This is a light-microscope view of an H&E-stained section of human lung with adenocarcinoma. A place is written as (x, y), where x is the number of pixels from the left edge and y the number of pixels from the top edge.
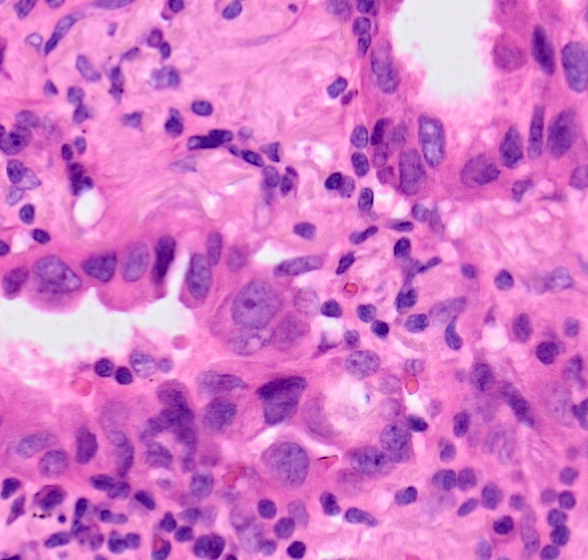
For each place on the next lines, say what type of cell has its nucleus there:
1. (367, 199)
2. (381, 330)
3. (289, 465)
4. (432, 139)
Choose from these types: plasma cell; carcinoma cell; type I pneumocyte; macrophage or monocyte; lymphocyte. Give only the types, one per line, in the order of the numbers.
lymphocyte
lymphocyte
carcinoma cell
carcinoma cell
